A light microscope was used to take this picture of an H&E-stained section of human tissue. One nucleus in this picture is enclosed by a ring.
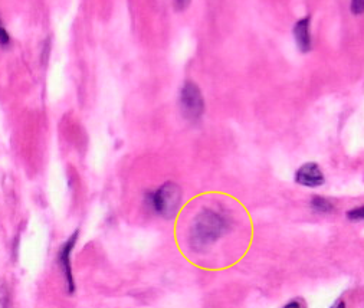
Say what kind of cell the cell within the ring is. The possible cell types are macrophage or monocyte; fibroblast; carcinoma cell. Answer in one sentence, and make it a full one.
As far as its identity is concerned, the cell within the ring is a fibroblast.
